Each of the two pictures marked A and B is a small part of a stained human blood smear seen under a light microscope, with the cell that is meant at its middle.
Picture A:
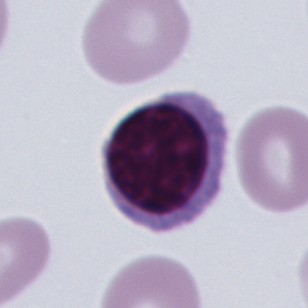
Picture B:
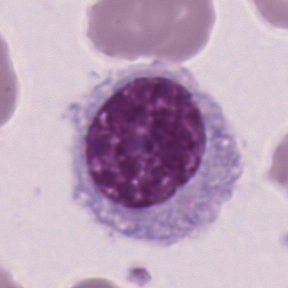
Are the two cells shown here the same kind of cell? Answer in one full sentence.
No. Picture A shows a large granular lymphocyte, but picture B shows a plasma cell.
